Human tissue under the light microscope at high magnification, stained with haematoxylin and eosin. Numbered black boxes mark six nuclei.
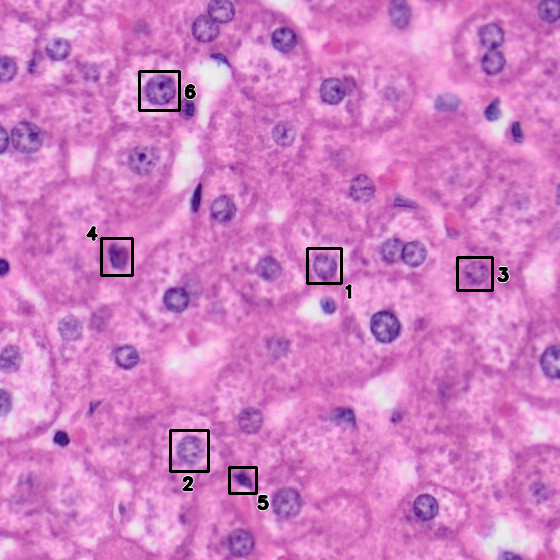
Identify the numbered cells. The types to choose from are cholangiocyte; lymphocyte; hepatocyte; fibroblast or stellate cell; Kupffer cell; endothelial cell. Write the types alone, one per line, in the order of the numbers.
hepatocyte
hepatocyte
hepatocyte
endothelial cell
fibroblast or stellate cell
hepatocyte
